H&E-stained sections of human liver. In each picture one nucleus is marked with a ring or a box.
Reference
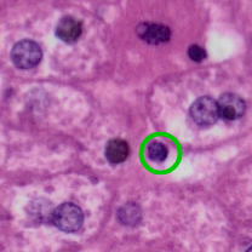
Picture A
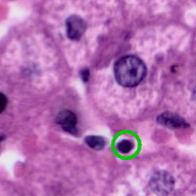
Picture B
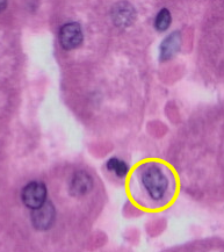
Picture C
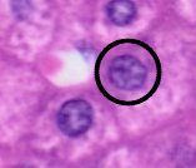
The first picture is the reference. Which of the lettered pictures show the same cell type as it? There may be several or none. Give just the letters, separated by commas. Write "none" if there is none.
A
